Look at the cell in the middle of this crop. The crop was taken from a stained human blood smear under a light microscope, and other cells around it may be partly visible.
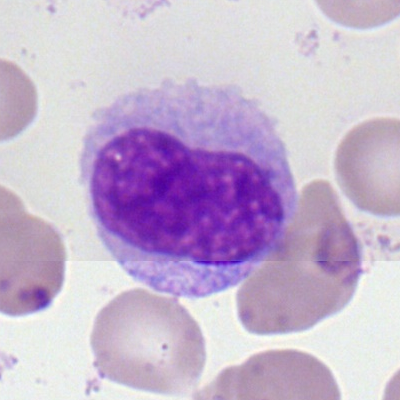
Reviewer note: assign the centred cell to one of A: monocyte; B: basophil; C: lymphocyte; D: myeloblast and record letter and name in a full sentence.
Seen at the centre of the crop is a monocyte, so option A is correct.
